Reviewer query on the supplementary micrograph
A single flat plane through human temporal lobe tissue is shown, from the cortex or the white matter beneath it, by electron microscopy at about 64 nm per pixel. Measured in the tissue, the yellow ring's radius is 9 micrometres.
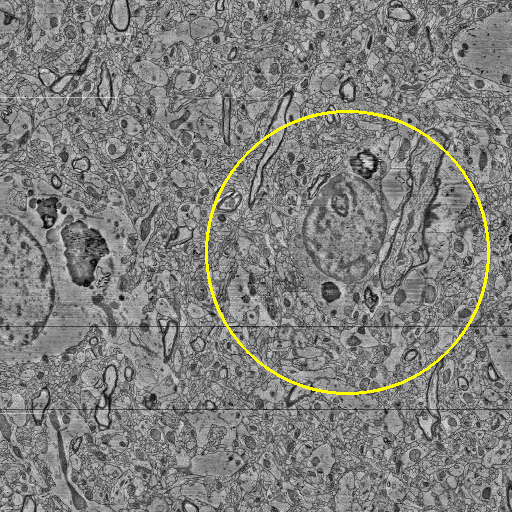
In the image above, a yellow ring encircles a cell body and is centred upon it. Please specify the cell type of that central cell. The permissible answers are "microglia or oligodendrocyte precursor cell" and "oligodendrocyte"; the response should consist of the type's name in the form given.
oligodendrocyte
